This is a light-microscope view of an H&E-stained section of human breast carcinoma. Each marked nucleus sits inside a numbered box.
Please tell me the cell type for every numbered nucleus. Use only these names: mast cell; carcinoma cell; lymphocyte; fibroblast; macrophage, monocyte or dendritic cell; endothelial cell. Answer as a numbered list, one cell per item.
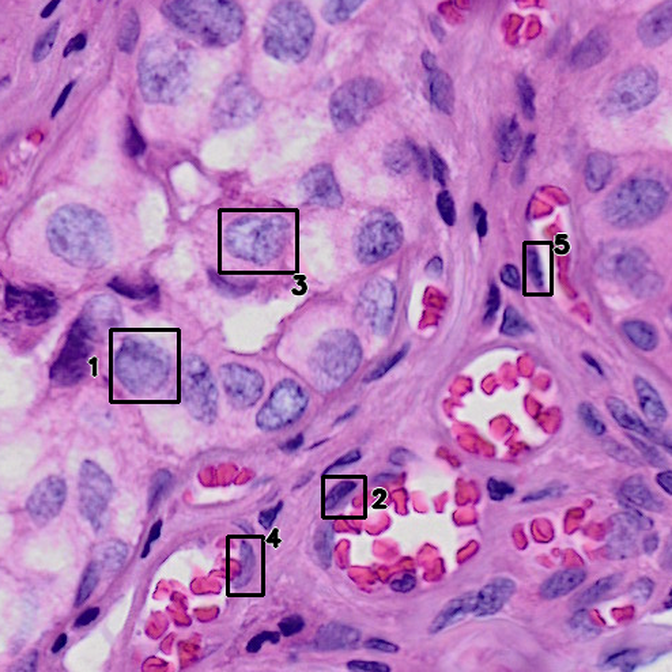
1. carcinoma cell
2. endothelial cell
3. carcinoma cell
4. endothelial cell
5. endothelial cell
